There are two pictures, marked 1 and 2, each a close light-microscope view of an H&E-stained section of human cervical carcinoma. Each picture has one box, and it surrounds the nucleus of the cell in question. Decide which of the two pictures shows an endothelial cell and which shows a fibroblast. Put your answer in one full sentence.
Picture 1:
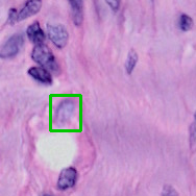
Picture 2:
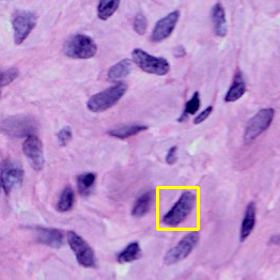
Picture 1 shows an endothelial cell and picture 2 shows a fibroblast.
